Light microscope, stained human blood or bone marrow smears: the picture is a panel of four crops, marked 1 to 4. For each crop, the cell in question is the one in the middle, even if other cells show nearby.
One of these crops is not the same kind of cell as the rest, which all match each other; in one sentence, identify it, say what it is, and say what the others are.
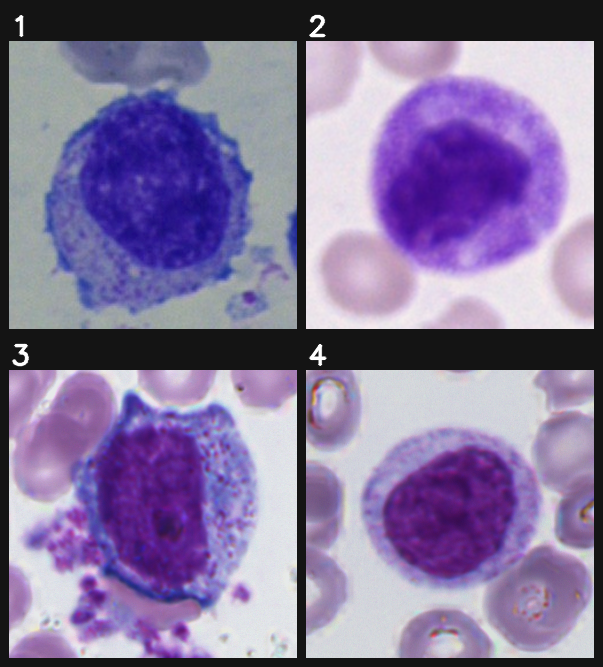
The crop that differs is crop 3, showing a promyelocyte; the others show myelocytes.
